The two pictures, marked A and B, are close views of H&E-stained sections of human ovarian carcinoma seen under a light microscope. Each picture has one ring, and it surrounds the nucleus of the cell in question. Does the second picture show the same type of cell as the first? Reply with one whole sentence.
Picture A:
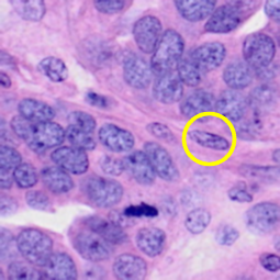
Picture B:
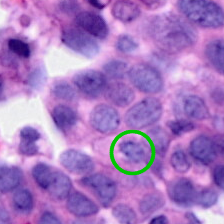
Yes, they are the same type: both are “macrophages or monocytes”.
